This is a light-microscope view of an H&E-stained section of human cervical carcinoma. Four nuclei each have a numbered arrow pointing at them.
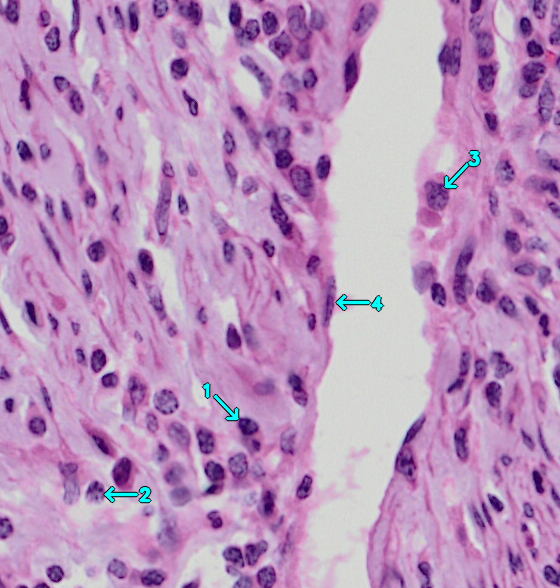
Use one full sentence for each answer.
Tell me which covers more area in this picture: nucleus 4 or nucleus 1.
Nucleus 4 is larger, with an area about 1.5 times that of nucleus 1.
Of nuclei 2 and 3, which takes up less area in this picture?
With nucleus 3 about 1.5 times its size, nucleus 2 is the smaller of the two.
